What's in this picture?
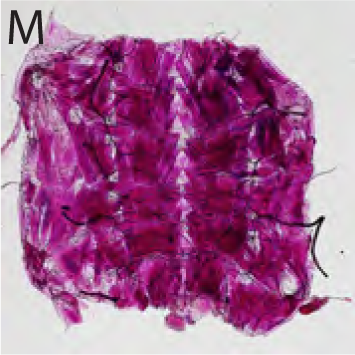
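Larval body wall muscle fillet opened flat, with elongated muscle fibres arranged in segmentally repeated rows on either side of a pale longitudinal midline. The fibres stain intensely deep magenta to purple throughout. Thin dark branching tubes run over the muscles across the preparation. Edges of the fillet are ragged where it was cut open.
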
